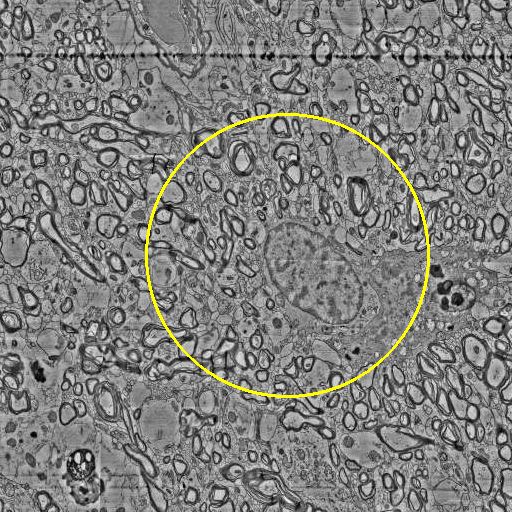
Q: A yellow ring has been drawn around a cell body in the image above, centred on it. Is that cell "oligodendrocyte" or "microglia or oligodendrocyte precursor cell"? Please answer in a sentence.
The ring surrounds the cell body of an oligodendrocyte.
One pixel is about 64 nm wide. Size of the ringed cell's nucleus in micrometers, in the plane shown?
The nucleus comes to approximately 8 by 5 micrometres and is clearly longer than it is wide in this plane.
